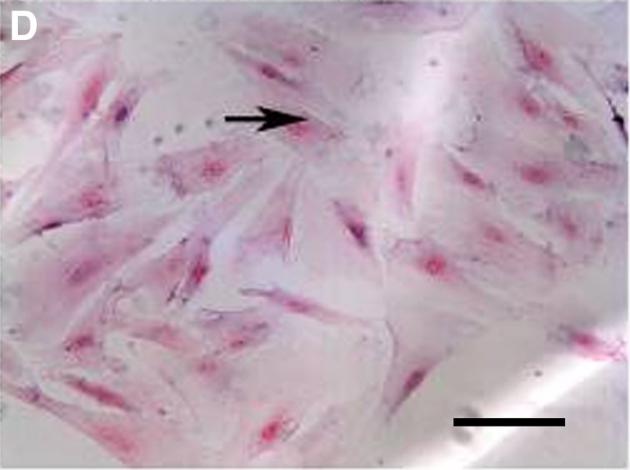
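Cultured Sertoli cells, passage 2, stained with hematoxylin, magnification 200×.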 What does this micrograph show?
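Every cell has a single oval nucleus stained a deeper pink to purple, lying near the middle of the cell. The cells touch and overlap at their thin edges, forming a loose sheet.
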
